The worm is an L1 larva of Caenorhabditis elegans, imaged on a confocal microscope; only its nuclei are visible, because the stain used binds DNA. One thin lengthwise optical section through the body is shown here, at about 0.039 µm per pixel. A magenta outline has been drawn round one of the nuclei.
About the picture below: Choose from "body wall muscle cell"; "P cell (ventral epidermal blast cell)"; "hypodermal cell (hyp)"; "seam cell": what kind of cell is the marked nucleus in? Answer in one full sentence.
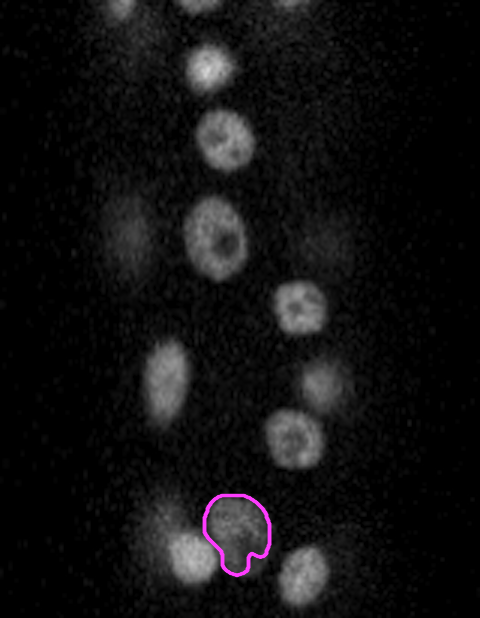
This is the nucleus of a hypodermal cell (hyp).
